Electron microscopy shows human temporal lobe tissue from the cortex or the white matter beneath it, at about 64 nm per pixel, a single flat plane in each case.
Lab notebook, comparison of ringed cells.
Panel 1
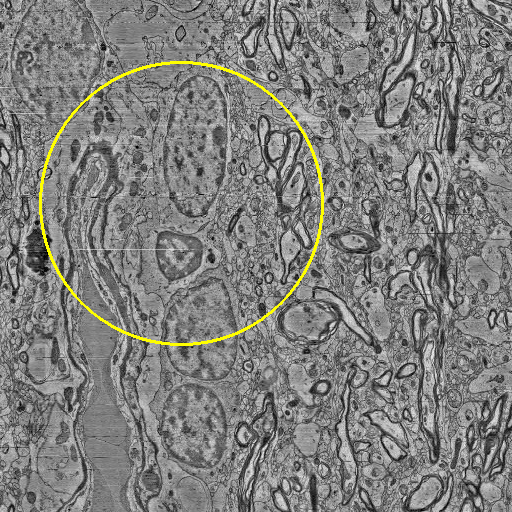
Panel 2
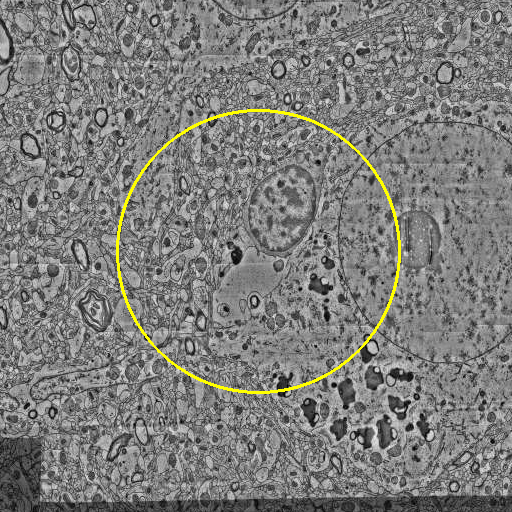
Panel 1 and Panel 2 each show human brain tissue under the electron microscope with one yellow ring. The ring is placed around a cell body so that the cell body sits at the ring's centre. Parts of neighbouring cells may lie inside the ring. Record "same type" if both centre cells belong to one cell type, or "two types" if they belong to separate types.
two types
